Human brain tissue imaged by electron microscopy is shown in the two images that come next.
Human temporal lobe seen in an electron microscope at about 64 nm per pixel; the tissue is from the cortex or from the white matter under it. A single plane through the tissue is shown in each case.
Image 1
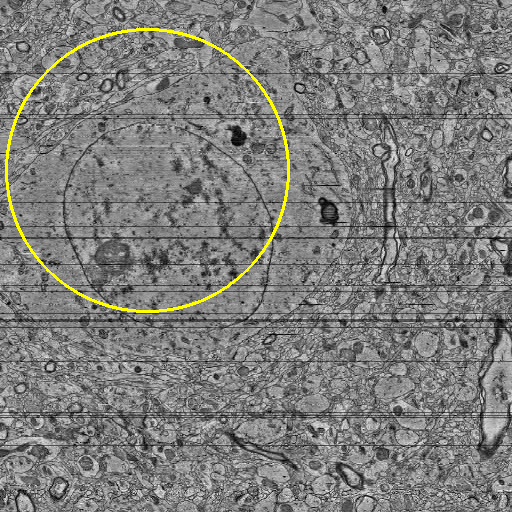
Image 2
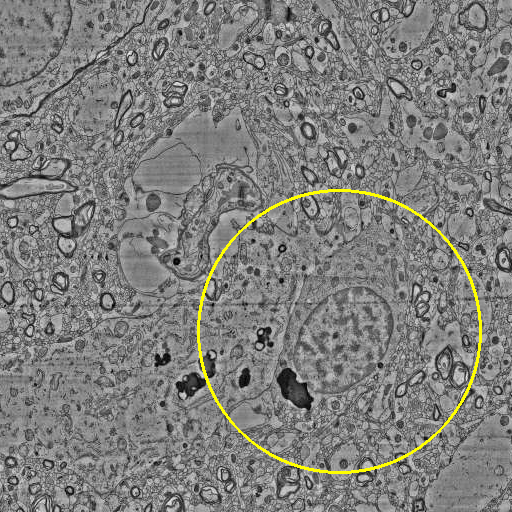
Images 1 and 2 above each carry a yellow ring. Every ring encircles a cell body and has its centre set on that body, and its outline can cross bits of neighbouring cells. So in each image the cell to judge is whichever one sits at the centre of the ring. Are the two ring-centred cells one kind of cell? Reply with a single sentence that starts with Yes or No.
No, in Image 1 and Image 2 the cells at the centres of their rings fall into two types.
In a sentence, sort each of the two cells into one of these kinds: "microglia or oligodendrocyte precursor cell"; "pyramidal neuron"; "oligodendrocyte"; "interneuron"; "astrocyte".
The first of the two cells is a pyramidal neuron, and the second is an oligodendrocyte.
